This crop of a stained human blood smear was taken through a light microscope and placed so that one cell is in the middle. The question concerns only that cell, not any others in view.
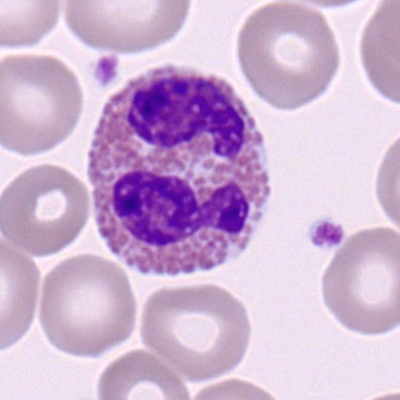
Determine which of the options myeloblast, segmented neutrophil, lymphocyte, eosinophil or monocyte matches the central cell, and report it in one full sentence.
To answer, the cell in the center of the crop is an eosinophil.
